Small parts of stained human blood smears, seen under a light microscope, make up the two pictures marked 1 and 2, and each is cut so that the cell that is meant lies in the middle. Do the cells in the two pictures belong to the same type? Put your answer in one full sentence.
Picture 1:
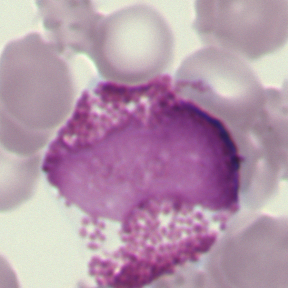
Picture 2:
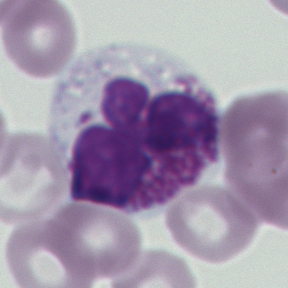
Yes, both are eosinophils.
